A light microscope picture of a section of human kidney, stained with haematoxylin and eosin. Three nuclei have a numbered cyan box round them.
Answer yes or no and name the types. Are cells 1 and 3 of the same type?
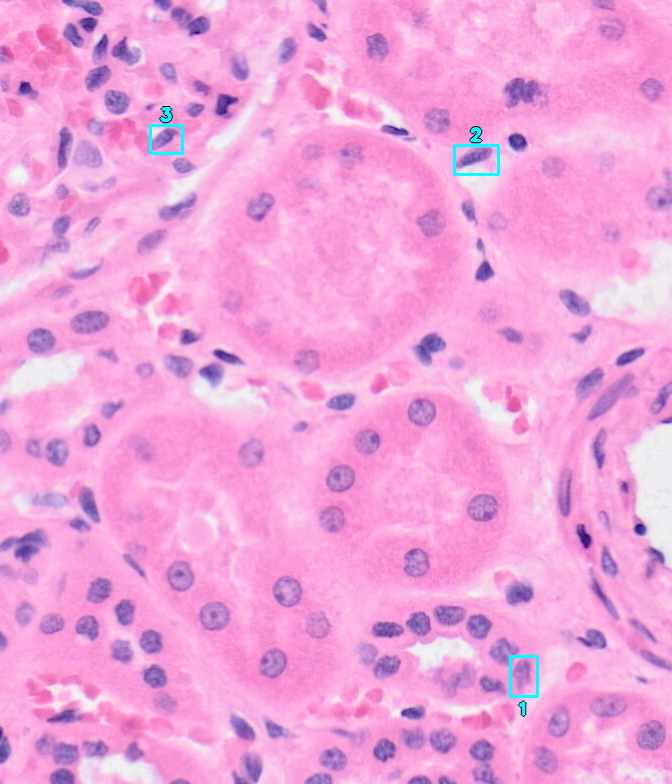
No, cell 1 is a collecting duct cell, and cell 3, on the other hand, is an endothelial cell.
